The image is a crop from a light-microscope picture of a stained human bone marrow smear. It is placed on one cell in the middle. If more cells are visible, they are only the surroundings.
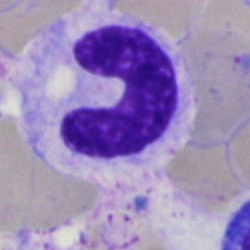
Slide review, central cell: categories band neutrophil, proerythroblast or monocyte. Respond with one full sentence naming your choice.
By type, the central cell of the crop is a band neutrophil.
